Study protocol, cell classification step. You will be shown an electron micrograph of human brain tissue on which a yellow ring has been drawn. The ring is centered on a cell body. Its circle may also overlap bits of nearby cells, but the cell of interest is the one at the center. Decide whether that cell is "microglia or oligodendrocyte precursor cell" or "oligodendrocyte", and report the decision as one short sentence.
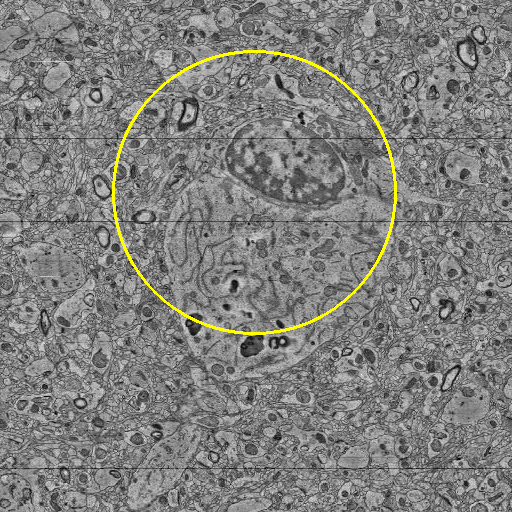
The marked cell is a microglial cell or oligodendrocyte precursor cell.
